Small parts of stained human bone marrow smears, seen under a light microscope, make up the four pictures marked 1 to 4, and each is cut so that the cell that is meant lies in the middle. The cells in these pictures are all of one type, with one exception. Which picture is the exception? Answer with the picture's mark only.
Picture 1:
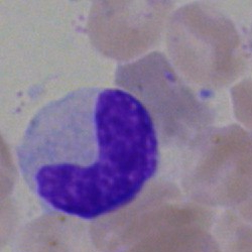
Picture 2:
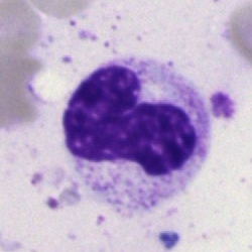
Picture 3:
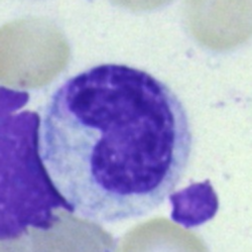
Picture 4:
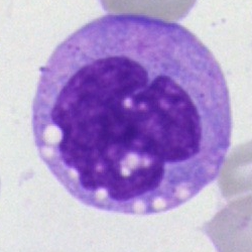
4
